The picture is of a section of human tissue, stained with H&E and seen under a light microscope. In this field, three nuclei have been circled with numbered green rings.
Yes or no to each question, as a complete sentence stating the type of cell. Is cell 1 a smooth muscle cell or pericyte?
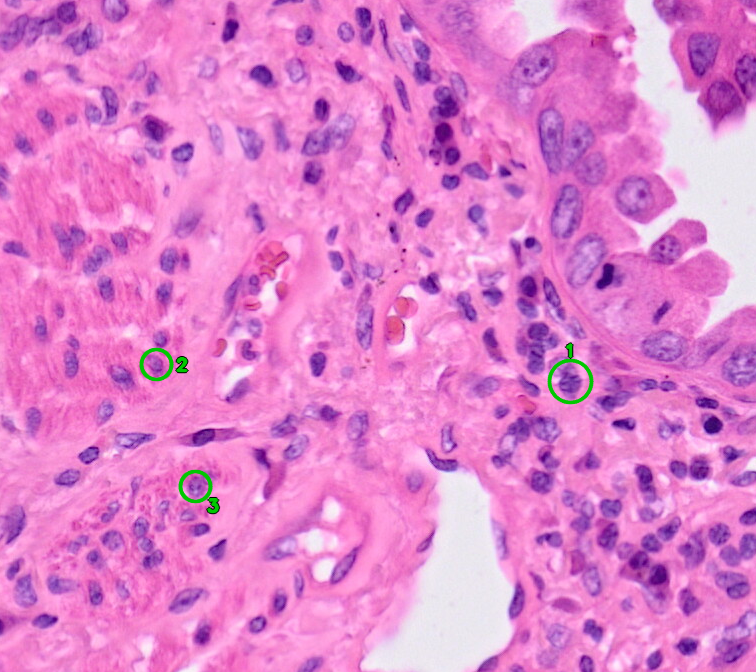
No, what is marked as number 1 is a lymphocyte rather than a smooth muscle cell or pericyte.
